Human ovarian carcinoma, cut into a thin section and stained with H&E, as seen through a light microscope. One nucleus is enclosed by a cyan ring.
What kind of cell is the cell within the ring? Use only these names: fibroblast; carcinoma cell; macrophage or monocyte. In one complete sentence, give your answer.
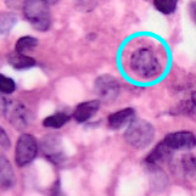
Typologically, the cell within the ring is a macrophage or monocyte in this section.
